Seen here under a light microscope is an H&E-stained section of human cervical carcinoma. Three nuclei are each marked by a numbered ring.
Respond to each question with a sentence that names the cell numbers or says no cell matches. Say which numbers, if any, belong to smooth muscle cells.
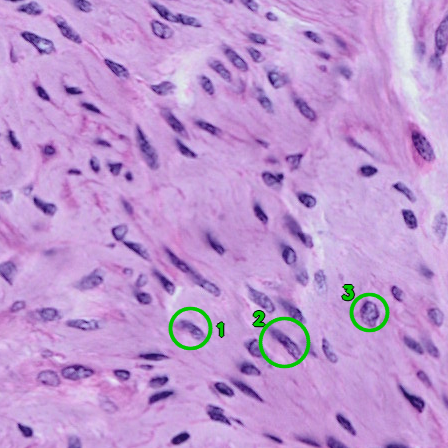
Among the marked cells, cell number 3 alone is a smooth muscle cell.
